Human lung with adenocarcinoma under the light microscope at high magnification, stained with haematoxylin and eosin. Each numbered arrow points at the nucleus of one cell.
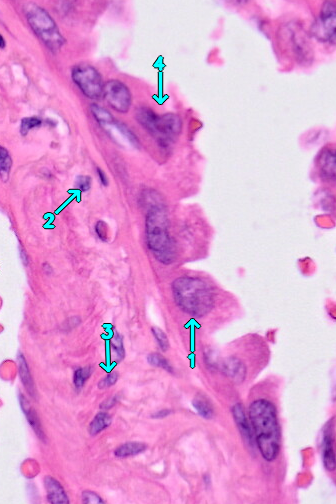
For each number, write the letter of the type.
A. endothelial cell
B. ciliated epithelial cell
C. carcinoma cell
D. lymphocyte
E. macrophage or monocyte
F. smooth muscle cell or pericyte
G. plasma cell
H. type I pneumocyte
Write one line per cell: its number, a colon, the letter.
1: C
2: D
3: F
4: C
